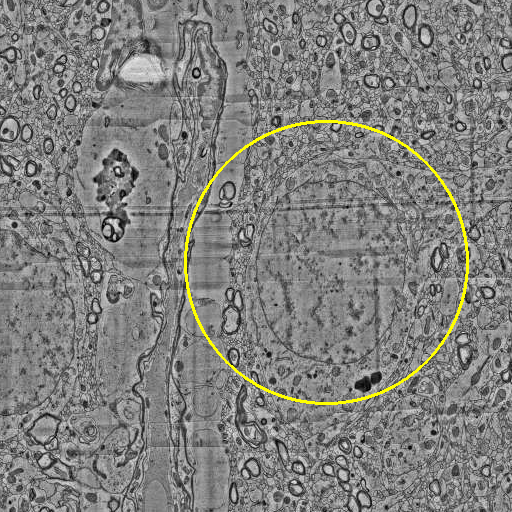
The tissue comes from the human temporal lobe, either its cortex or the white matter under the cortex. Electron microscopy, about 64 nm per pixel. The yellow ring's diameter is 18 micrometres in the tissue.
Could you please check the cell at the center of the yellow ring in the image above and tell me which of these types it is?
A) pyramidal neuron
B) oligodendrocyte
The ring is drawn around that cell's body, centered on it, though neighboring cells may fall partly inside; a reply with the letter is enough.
A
